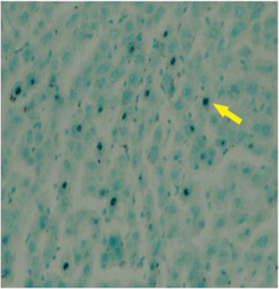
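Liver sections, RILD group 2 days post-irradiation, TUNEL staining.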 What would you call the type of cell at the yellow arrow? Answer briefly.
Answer: Hepatocytes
